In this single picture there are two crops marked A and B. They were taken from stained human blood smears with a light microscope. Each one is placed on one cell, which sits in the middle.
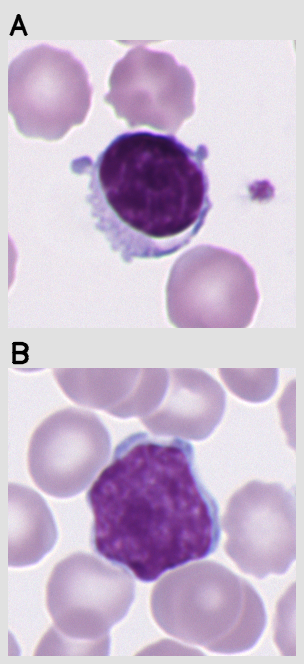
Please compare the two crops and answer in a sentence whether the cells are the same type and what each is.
Yes, in the case of both crops, the central cells are typical lymphocytes.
